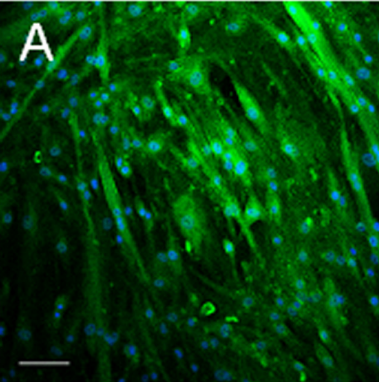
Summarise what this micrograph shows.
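A dense skeletal muscle culture in which long, slender myotubes stained green run in loosely parallel bundles across the field. Small oval blue nuclei are spread over the culture, and several lie in rows within single elongated green cells.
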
